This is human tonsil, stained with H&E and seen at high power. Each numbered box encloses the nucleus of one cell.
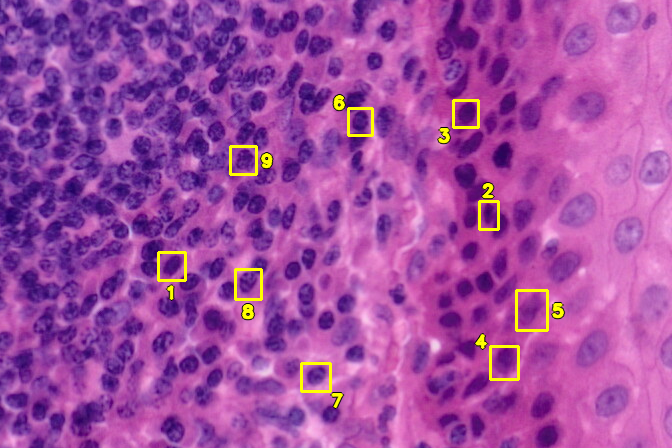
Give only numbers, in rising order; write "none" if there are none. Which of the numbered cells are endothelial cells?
none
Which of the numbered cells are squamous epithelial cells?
2, 3, 4, 5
